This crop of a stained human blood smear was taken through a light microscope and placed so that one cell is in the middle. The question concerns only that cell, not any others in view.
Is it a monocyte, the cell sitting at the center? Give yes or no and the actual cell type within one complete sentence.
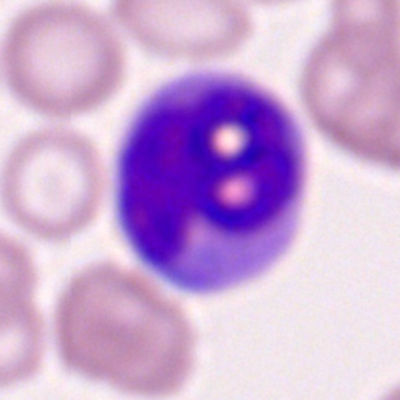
Yes, at the centre of the crop lies a monocyte.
